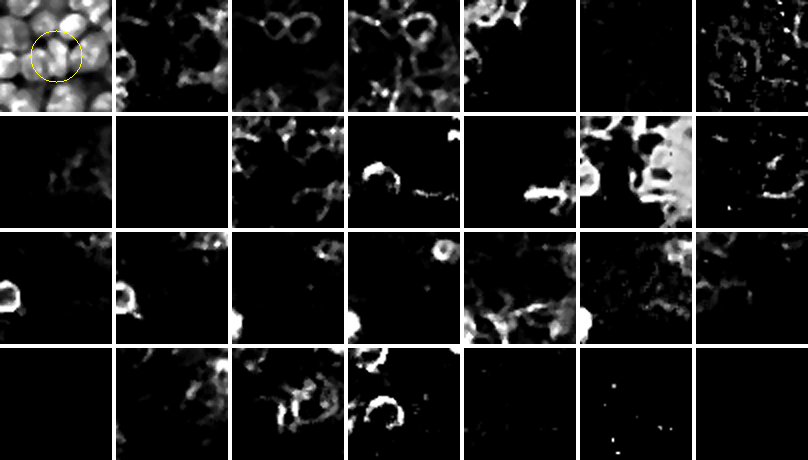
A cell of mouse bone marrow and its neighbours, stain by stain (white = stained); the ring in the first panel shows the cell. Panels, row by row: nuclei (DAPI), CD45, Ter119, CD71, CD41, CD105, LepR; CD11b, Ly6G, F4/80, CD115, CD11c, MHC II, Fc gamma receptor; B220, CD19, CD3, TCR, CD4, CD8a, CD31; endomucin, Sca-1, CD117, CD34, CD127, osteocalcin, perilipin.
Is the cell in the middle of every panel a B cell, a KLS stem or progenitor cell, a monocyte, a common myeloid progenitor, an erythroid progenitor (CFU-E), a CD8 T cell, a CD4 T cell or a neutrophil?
It is a common myeloid progenitor.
